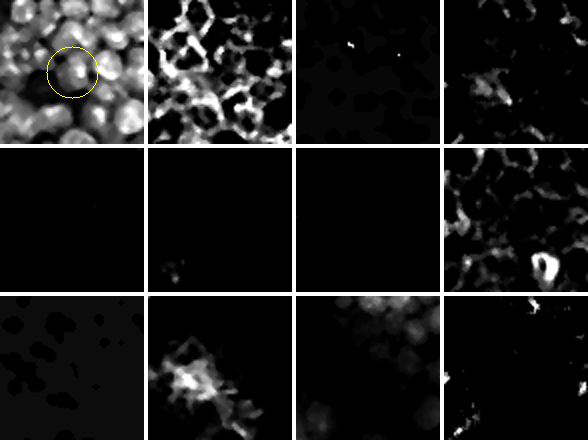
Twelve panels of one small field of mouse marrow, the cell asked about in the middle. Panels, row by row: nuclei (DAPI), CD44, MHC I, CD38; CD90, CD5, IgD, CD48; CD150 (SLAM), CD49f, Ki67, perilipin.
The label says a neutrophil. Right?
Right.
